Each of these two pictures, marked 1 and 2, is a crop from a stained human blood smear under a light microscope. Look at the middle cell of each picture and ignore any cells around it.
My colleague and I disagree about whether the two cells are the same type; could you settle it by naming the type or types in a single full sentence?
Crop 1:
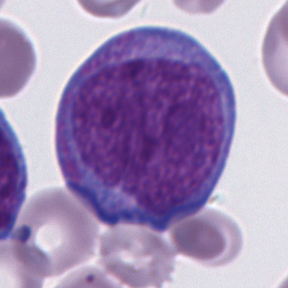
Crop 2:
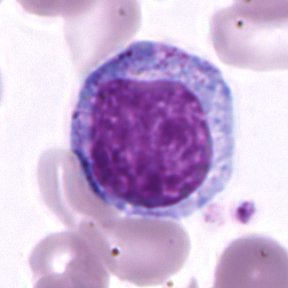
Yes, the two cells in the two crops are promyelocytes.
